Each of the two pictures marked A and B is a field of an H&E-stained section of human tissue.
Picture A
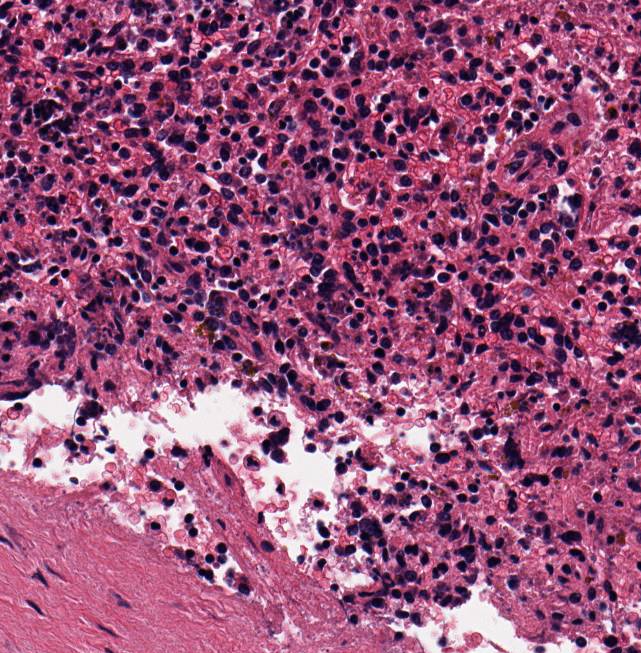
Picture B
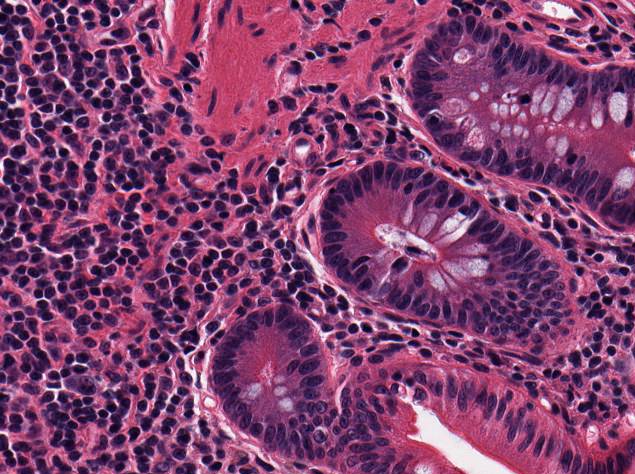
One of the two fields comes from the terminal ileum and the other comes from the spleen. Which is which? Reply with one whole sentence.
Picture B comes from the terminal ileum, while picture A comes from the spleen.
